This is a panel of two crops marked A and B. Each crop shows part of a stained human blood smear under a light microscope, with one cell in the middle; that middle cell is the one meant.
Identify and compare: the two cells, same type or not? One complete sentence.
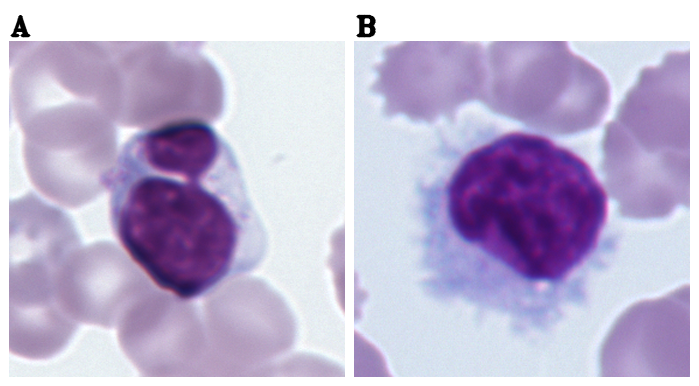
No, crop A shows a large granular lymphocyte, and the cell in crop B is a hairy cell.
